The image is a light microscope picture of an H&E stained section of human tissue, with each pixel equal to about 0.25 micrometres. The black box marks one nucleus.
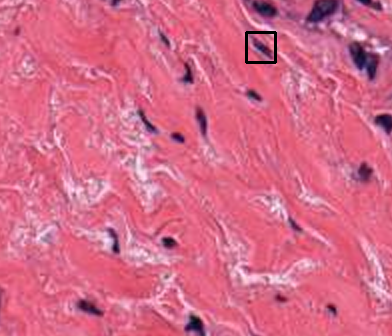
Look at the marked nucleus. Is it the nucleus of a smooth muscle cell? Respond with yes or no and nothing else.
no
